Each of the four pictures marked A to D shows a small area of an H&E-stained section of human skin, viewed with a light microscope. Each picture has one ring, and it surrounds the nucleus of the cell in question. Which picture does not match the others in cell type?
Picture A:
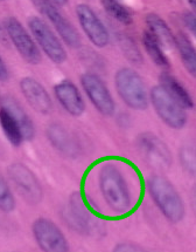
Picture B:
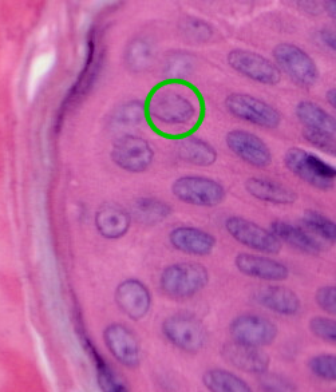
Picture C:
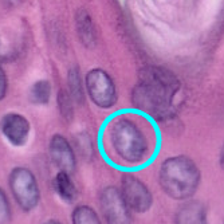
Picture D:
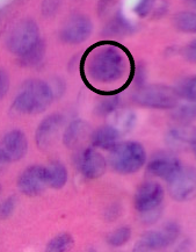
D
